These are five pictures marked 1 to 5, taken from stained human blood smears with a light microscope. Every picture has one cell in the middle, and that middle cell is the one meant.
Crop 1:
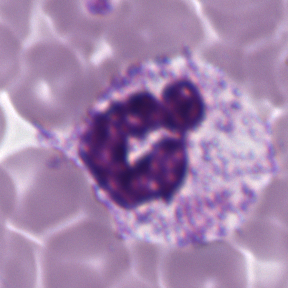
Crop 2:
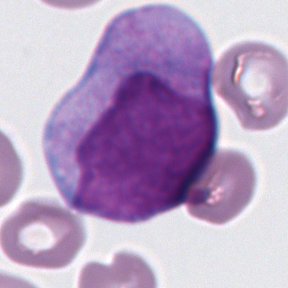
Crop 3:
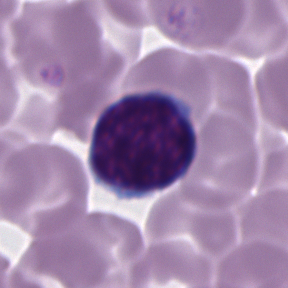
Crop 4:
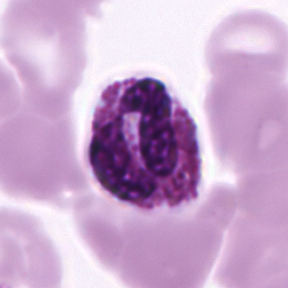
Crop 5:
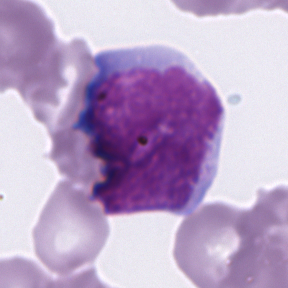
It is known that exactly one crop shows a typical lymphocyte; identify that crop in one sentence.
Among the crops given, only crop 3 shows a typical lymphocyte.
